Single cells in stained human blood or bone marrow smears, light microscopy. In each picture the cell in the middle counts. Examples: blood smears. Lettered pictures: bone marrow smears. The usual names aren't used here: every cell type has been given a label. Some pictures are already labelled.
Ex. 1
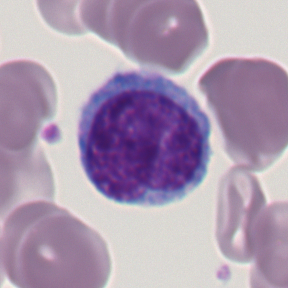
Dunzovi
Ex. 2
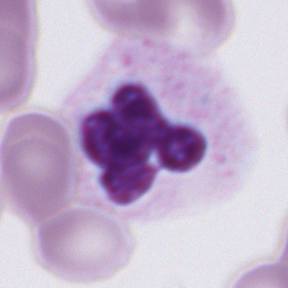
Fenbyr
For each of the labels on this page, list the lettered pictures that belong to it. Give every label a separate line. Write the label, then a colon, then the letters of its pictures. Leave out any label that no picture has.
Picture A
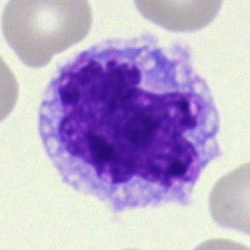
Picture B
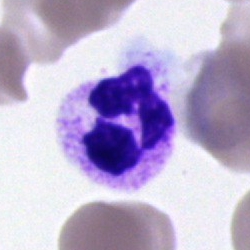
Dunzovi: A
Fenbyr: B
